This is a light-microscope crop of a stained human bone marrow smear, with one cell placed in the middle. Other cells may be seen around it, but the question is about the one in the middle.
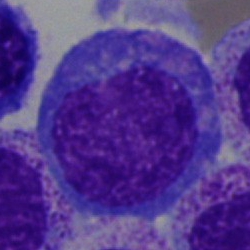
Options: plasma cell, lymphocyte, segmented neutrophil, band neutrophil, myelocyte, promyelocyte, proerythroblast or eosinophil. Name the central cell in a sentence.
The cell sitting right in the middle is a promyelocyte.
